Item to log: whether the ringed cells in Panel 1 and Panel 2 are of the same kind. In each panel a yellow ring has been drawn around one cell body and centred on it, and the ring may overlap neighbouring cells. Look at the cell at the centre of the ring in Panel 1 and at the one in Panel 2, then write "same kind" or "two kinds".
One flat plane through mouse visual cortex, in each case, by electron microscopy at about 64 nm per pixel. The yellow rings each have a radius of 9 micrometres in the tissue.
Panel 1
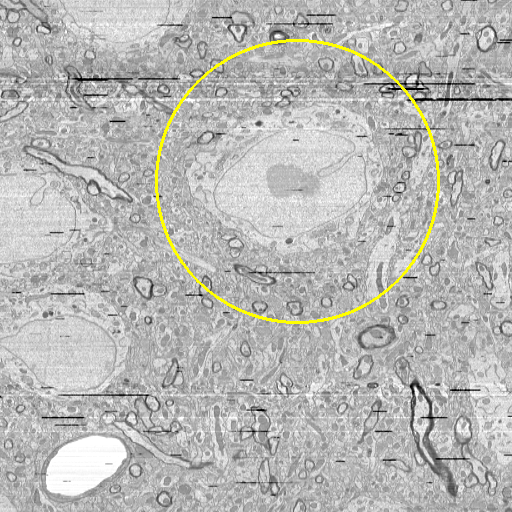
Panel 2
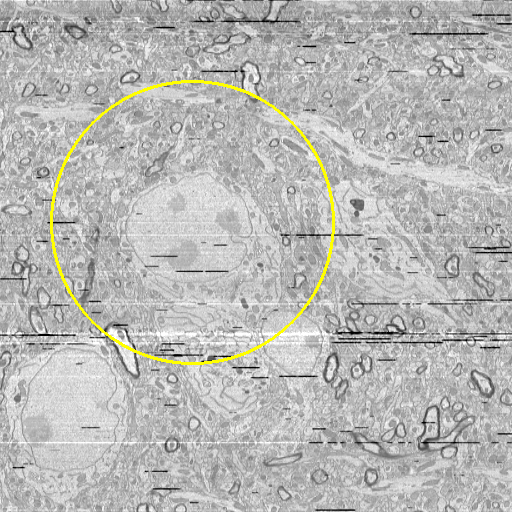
same kind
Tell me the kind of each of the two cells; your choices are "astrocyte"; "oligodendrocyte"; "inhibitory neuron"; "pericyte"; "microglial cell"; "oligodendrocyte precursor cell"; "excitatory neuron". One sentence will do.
Each of the two pictures has an excitatory neuron at the ring centre.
